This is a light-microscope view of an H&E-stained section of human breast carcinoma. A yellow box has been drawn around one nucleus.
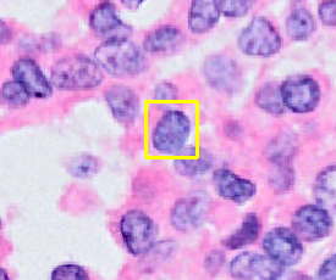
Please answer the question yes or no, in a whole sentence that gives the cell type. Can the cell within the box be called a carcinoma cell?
Yes, to name the cell within the box a carcinoma cell is correct.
